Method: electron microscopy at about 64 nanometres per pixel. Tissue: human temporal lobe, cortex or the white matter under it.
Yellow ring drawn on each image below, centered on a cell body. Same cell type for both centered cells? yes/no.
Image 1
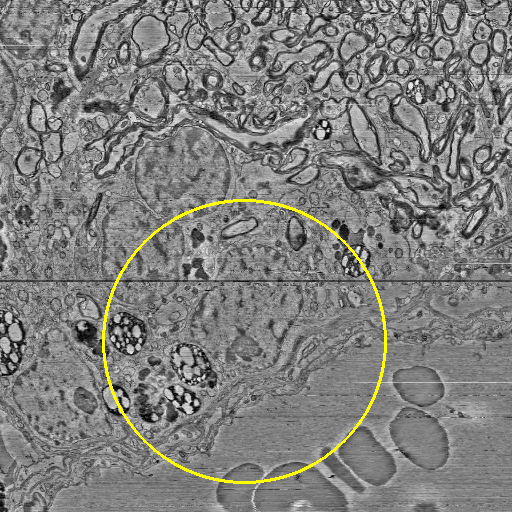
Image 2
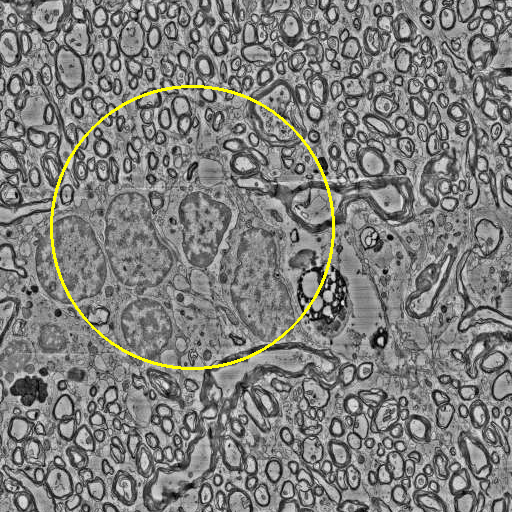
no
